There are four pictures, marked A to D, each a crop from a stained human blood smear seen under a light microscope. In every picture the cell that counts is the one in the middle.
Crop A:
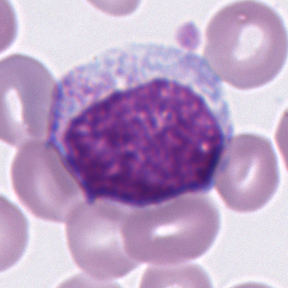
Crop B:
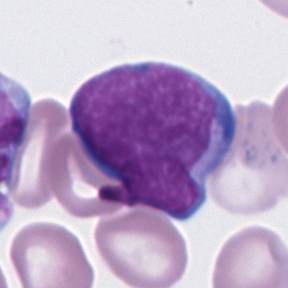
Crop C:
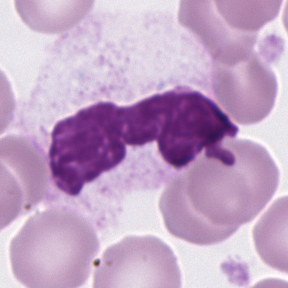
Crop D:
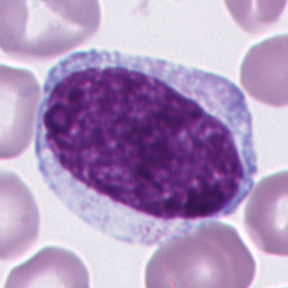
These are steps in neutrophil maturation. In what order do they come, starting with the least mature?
B, D, A, C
